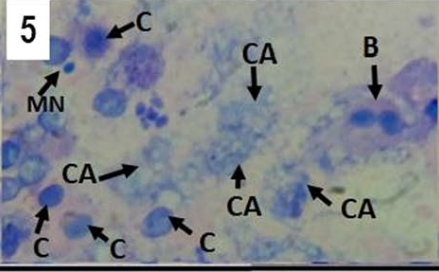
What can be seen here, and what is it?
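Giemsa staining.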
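Some nuclei look fragmented or clumped into separate pieces, consistent with karyorrhexis, and diffuse pale areas mark faded nuclei, consistent with karyolysis. One pair of nuclei appears joined by a strand, consistent with a bridge.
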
